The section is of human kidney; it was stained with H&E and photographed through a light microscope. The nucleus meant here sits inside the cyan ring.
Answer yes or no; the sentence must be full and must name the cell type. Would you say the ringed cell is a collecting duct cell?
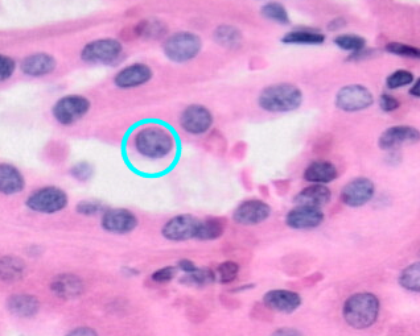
No, the ringed cell is classed as a loop of Henle or distal tubule cell, not a collecting duct cell.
